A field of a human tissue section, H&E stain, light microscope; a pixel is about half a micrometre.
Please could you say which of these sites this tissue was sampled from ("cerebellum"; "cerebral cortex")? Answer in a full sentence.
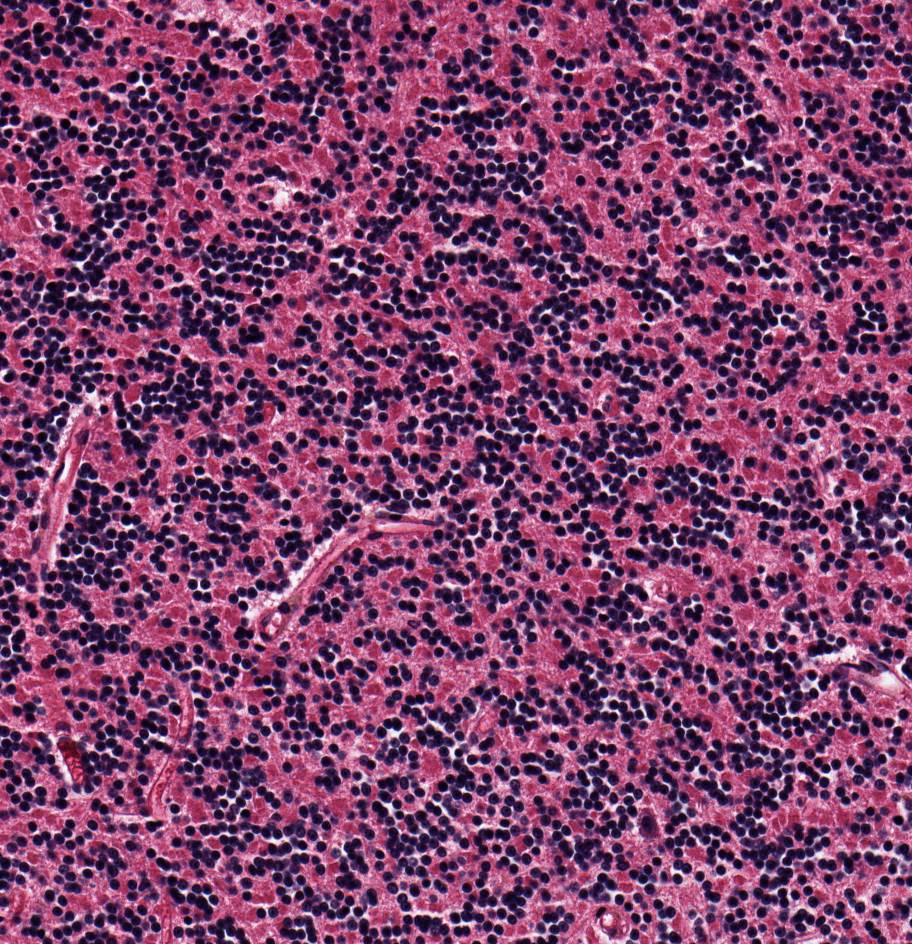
The site this tissue was sampled from is the cerebellum.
